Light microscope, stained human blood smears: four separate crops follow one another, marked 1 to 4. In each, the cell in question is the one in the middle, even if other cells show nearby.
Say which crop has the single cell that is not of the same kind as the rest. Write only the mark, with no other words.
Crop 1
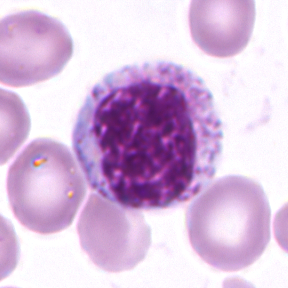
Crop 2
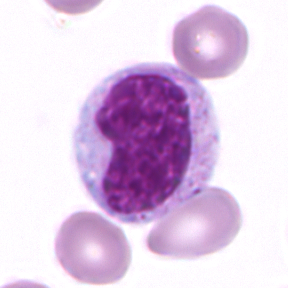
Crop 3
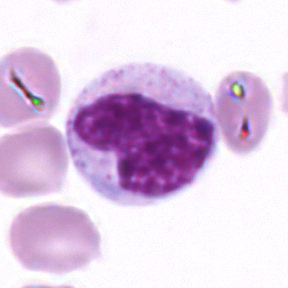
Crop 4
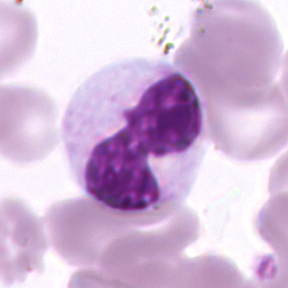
4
